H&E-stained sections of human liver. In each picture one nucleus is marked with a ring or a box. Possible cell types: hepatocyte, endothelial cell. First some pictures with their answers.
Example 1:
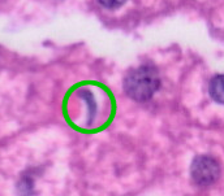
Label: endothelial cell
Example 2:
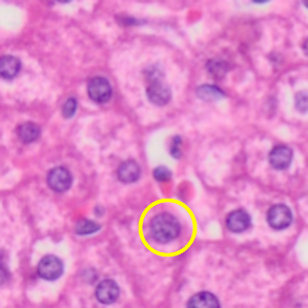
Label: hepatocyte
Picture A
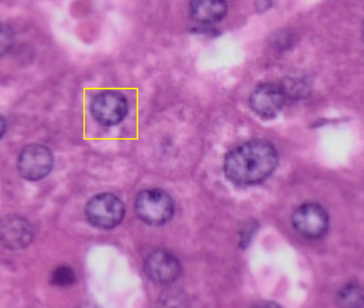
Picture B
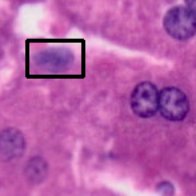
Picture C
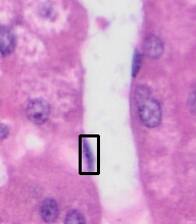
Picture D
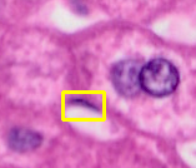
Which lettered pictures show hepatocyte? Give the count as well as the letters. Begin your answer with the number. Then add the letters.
1, namely A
